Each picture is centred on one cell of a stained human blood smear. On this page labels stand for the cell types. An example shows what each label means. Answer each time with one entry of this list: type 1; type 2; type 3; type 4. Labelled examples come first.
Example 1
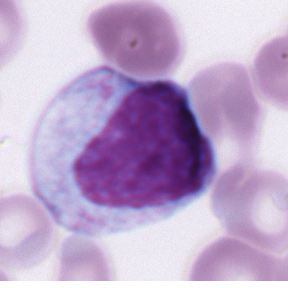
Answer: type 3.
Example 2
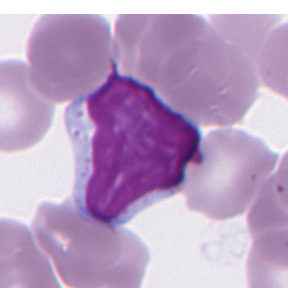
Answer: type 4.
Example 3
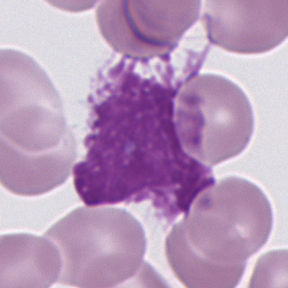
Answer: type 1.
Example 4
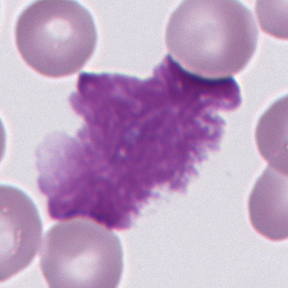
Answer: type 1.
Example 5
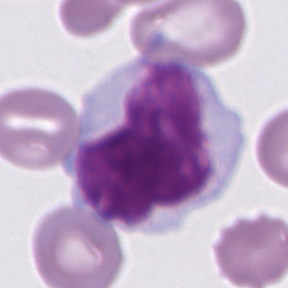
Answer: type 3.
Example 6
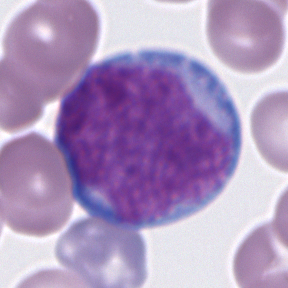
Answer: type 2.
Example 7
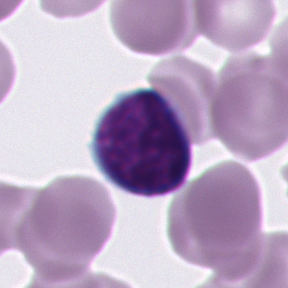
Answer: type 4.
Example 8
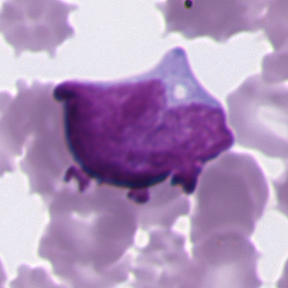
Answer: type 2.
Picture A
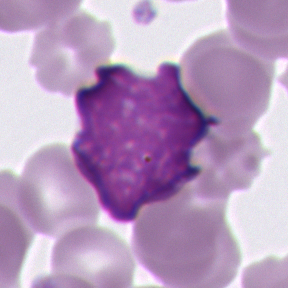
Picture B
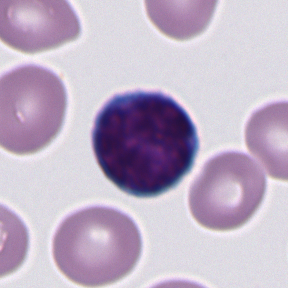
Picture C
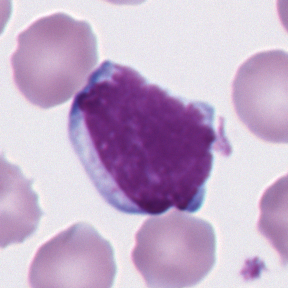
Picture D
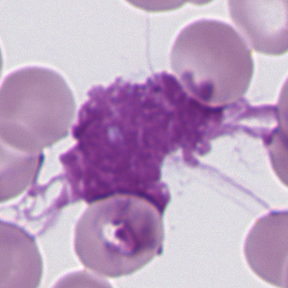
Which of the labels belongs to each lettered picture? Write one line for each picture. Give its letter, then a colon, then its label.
A: type 1.
B: type 4.
C: type 3.
D: type 1.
